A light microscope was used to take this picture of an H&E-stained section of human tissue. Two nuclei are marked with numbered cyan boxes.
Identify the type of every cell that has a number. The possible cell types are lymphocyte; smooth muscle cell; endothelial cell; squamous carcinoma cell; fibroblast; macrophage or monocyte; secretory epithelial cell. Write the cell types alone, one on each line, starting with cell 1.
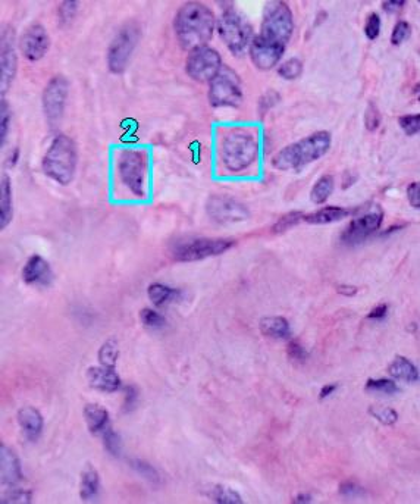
endothelial cell
fibroblast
